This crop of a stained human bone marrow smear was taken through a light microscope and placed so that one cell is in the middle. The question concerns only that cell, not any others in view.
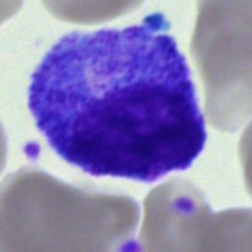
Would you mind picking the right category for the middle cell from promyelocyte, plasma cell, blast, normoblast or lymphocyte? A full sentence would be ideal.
The cell of interest, located centrally, is a promyelocyte.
